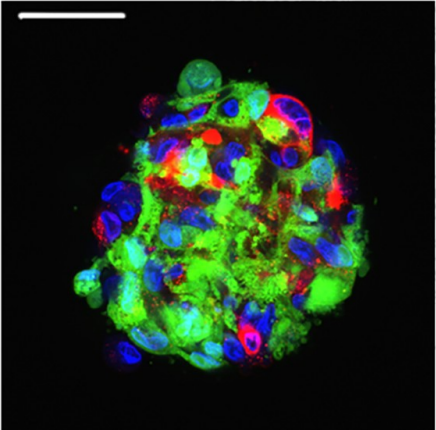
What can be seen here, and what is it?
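A single compact, roughly round aggregate of cells is seen. Green cells make up most of it. Red cells are scattered among them, some deep in the aggregate and several near its rim. The red cells look rounder, with red filling the cytoplasm around a nucleus. Some nuclei are surrounded by red cytoplasm and others by green. The outline of the cluster is lobulated, with a few cells bulging at the top. There is no hollow centre or layered organisation.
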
